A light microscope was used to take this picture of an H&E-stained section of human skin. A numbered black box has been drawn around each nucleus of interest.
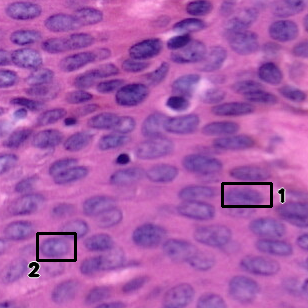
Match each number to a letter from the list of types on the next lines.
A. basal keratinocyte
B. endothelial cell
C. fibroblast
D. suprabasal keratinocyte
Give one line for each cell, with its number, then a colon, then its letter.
1: A
2: D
